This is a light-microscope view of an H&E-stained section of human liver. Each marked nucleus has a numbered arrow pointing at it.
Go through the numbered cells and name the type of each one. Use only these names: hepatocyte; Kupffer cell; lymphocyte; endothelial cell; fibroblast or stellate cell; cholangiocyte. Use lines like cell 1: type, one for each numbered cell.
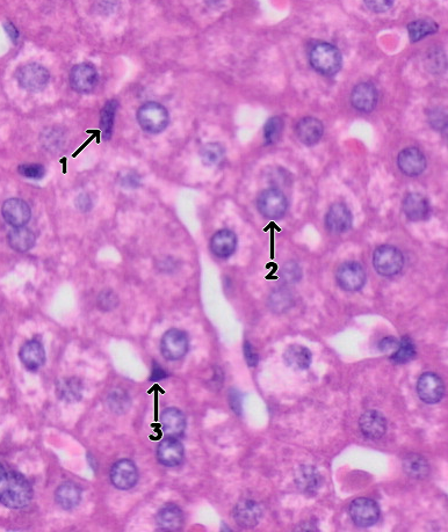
cell 1: fibroblast or stellate cell
cell 2: hepatocyte
cell 3: fibroblast or stellate cell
